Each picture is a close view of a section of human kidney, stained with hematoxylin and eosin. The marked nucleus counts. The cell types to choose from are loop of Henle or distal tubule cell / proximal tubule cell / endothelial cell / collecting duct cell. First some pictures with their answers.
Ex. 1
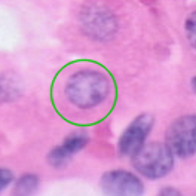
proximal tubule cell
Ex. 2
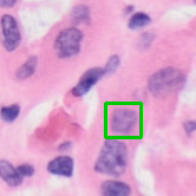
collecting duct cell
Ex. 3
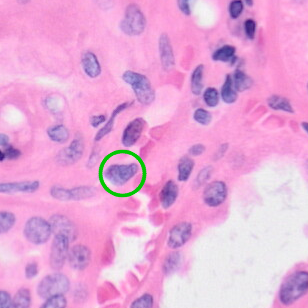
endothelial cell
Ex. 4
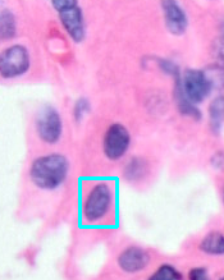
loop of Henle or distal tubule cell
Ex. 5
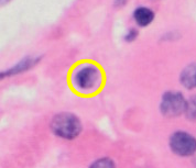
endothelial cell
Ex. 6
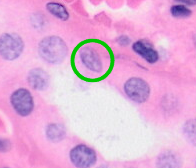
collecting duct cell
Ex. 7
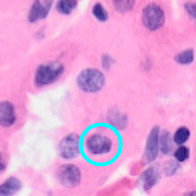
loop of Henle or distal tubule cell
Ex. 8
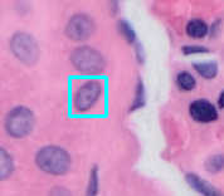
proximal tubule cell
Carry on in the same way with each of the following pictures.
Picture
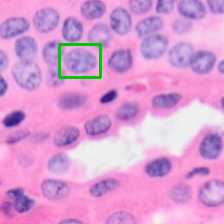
collecting duct cell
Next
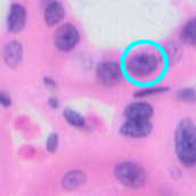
collecting duct cell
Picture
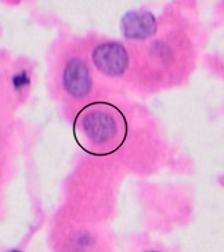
proximal tubule cell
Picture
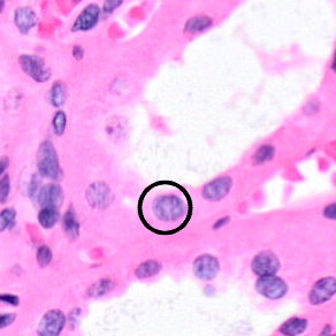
loop of Henle or distal tubule cell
